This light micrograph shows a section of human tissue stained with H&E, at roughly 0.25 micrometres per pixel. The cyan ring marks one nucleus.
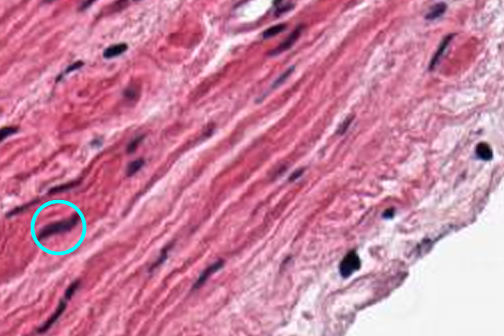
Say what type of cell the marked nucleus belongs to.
smooth muscle cell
